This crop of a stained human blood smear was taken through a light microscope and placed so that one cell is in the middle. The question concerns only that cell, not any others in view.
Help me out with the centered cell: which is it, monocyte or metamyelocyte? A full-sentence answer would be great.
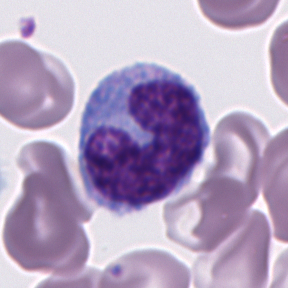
The target cell in the middle of the crop is a monocyte.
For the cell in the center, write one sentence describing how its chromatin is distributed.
You can see that its chromatin is coarsely clumped.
